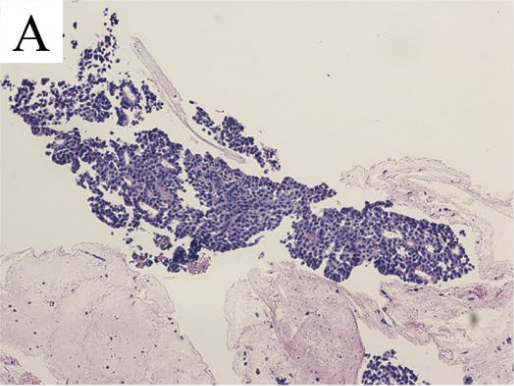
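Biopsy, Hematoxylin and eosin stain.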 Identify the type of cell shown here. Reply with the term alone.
Neoplastic cells.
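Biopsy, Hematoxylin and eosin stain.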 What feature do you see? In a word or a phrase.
small gland-like structures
